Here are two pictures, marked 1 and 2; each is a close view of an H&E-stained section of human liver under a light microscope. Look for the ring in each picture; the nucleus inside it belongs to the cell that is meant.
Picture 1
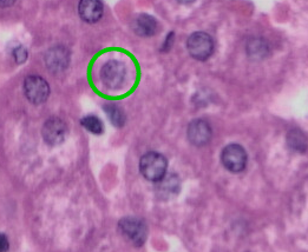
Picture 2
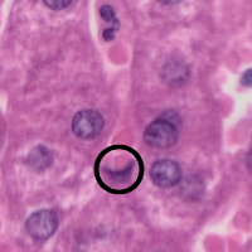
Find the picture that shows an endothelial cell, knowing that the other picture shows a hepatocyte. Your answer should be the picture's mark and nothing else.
2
